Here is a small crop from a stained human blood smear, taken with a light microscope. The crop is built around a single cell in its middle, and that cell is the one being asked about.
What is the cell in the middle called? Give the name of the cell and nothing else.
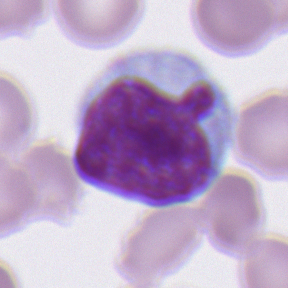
typical lymphocyte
